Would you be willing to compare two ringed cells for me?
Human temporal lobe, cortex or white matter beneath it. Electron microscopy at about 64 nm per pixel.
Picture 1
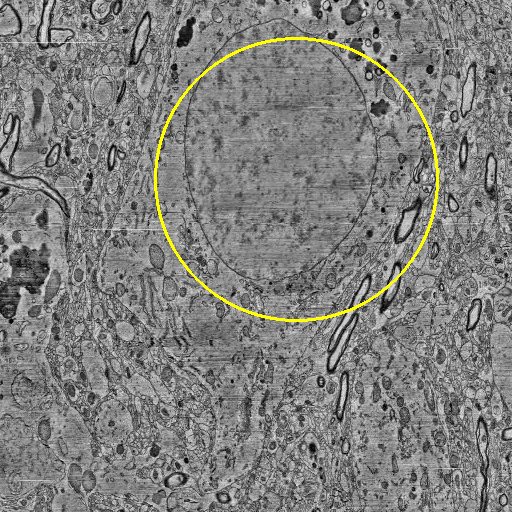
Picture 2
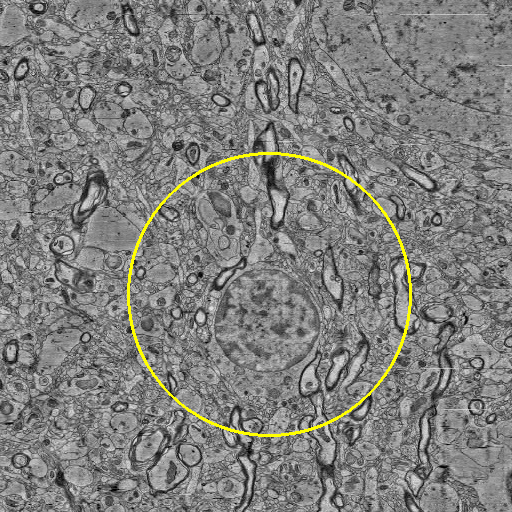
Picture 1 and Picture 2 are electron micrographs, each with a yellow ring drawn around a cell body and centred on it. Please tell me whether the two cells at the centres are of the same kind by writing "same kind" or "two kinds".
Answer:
two kinds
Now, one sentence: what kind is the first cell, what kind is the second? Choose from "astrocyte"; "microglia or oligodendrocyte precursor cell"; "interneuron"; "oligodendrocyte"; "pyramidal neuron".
The first picture has a pyramidal neuron at its ring centre, and the second has an oligodendrocyte.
